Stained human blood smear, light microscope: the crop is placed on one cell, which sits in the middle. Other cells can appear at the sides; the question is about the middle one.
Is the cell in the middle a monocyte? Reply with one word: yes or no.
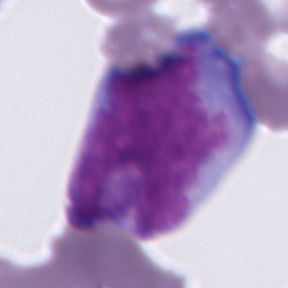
no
